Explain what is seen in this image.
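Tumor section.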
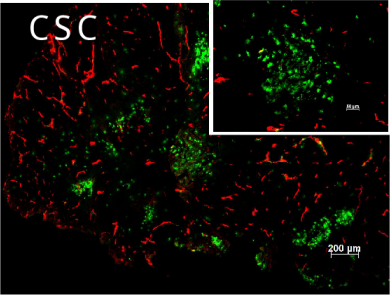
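Small round green cells gather in several dense clusters, some near the edge of the section, and are also scattered between the vessels. The enlarged inset shows one such cluster of closely packed green cells.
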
